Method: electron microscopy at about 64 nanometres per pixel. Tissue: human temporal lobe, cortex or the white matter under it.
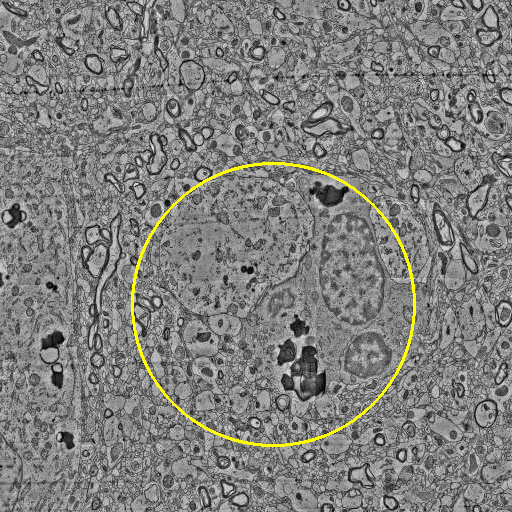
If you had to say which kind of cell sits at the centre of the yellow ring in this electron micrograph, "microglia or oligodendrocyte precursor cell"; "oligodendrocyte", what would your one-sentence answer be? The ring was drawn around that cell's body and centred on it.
The cell sitting at the centre of the ring is an oligodendrocyte.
